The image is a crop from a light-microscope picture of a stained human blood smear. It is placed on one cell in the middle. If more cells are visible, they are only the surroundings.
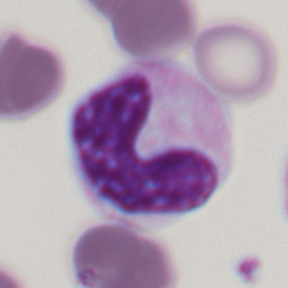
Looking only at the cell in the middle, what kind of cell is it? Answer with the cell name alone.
band neutrophil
